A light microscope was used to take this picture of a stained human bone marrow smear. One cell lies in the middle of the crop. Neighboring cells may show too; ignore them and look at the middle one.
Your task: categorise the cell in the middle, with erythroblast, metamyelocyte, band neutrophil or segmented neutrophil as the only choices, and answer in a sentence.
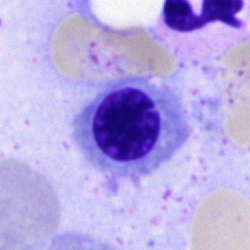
The central cell in this smear crop is an erythroblast.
